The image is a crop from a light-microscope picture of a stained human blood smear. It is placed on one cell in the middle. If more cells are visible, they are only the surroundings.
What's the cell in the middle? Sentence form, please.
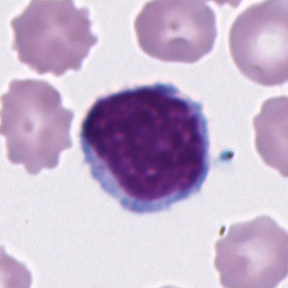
By type, the central cell of the crop is a typical lymphocyte.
